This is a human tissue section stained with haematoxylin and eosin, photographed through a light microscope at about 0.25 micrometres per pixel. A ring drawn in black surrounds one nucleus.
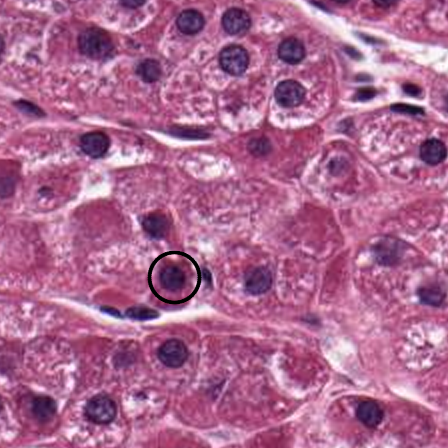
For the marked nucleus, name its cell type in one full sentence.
The marked nucleus is that of an adrenal cortical cell in this section.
